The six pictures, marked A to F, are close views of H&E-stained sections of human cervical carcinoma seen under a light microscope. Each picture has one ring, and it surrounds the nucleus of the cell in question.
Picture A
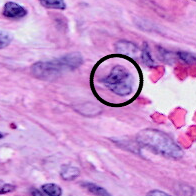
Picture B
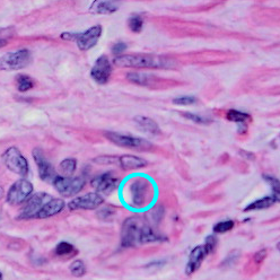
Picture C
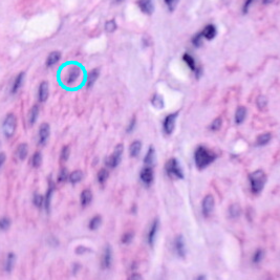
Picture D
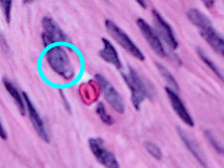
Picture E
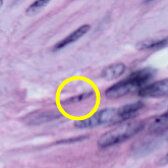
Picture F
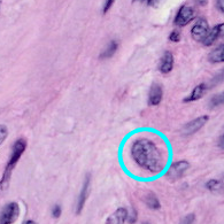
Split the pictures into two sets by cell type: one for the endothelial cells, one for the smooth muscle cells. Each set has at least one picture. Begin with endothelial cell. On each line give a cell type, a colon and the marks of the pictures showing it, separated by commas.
endothelial cell: A, B, D, E
smooth muscle cell: C, F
